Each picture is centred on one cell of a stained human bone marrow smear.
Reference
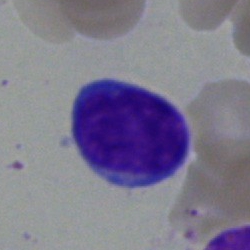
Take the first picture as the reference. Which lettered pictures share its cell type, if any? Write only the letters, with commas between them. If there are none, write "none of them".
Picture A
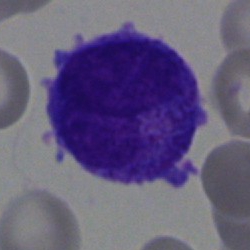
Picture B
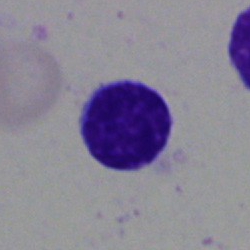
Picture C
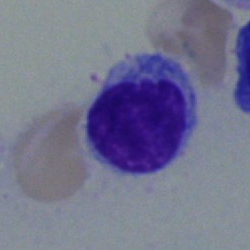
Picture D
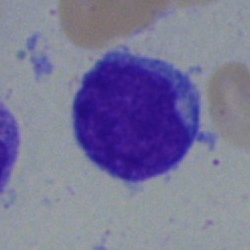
B, C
